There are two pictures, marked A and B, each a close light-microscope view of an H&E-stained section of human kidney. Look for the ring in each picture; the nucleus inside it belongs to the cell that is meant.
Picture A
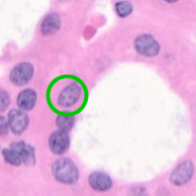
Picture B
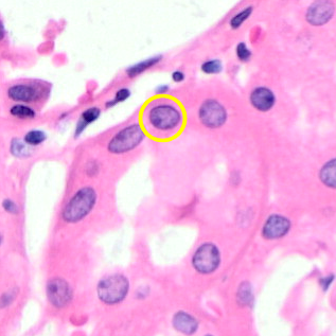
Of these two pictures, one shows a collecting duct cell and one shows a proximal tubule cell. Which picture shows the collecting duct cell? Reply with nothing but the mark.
A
